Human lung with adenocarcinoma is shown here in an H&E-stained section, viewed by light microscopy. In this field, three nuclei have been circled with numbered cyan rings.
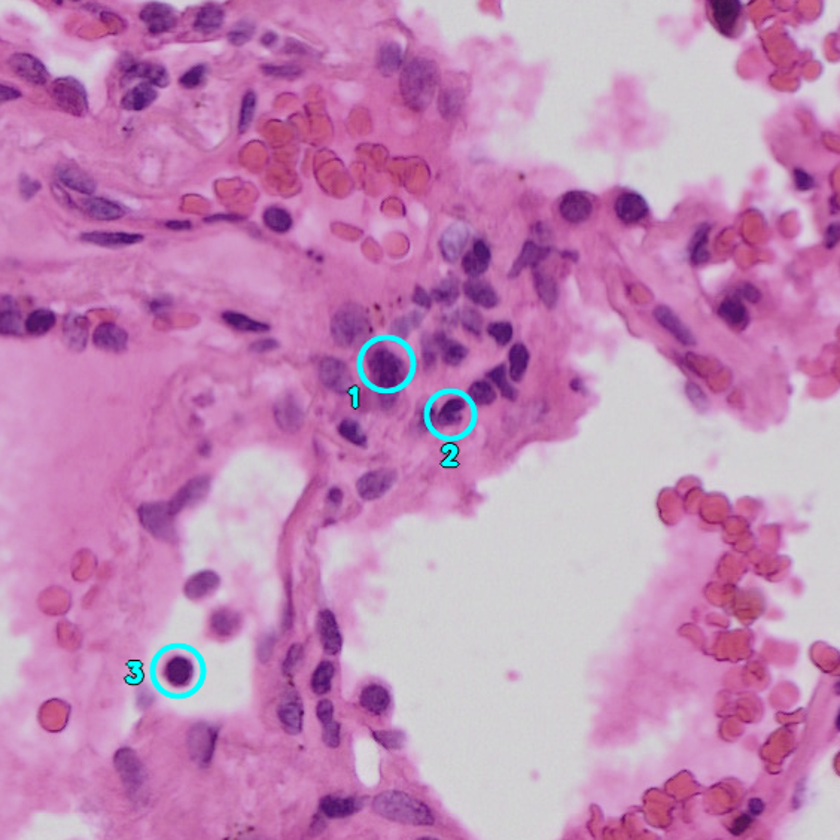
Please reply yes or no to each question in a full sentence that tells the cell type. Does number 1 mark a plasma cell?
Yes, the cell with the number 1 is a plasma cell.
